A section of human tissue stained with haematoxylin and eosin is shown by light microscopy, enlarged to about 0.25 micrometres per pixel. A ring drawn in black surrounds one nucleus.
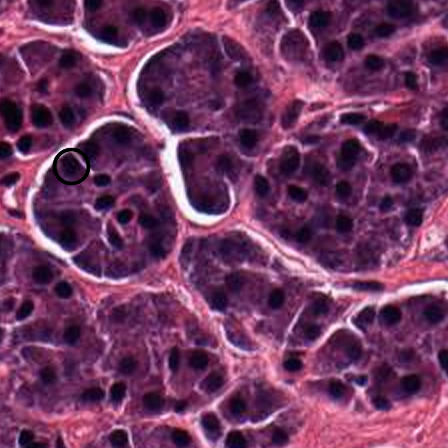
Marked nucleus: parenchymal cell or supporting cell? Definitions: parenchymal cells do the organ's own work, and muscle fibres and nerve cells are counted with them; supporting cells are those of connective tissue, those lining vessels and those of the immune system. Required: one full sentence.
A parenchymal cell, namely a pancreatic acinar cell, is the owner of the marked nucleus.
